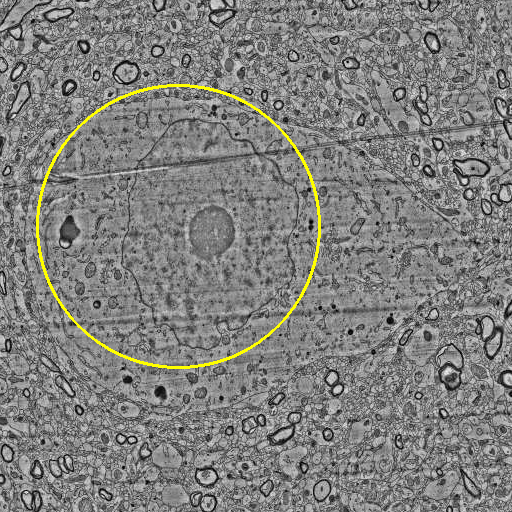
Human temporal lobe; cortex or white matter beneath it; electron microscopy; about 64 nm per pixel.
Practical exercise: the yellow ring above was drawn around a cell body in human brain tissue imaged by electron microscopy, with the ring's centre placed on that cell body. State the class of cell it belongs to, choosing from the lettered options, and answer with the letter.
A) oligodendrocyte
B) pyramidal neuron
B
